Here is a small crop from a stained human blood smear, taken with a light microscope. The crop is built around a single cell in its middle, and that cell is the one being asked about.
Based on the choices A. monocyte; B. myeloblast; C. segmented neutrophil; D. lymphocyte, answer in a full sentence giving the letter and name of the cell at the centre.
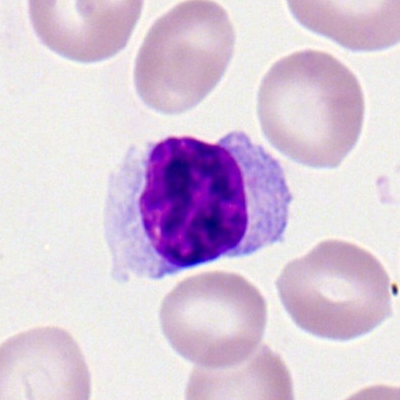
Since the cell in the middle is a lymphocyte, option D is correct.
